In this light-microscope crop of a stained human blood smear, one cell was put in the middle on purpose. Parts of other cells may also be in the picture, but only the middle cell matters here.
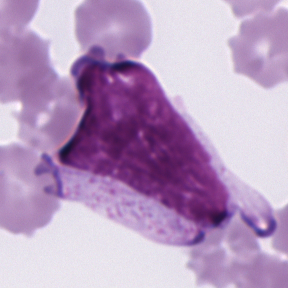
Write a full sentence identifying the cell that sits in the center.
Occupying the centre of the crop is a myelocyte.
